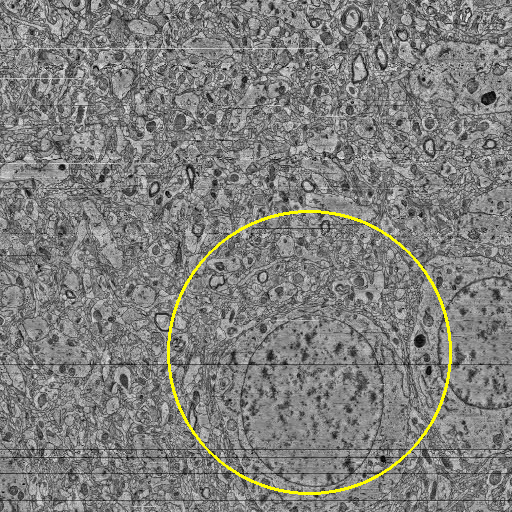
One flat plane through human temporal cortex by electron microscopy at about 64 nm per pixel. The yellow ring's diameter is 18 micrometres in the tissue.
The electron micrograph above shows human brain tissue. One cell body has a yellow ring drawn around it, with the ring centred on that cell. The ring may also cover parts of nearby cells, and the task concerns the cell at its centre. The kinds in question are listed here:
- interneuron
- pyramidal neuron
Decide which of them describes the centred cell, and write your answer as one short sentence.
The centred cell is a pyramidal neuron.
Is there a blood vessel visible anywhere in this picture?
No, no vessel shows anywhere in the image.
